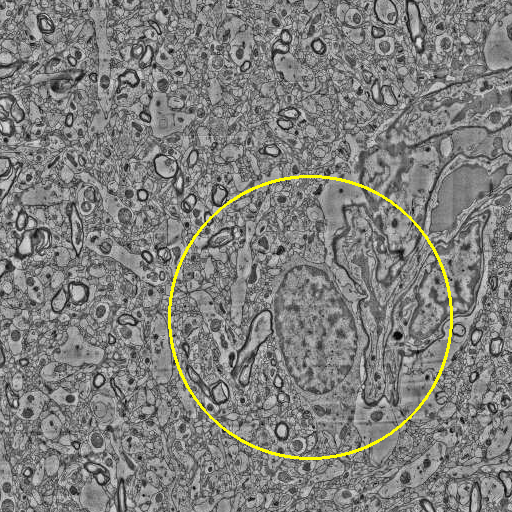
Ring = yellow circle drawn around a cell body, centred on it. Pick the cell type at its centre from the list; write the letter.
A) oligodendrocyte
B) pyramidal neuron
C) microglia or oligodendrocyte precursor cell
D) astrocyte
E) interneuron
A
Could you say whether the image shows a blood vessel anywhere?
Yes, the picture includes a blood vessel.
